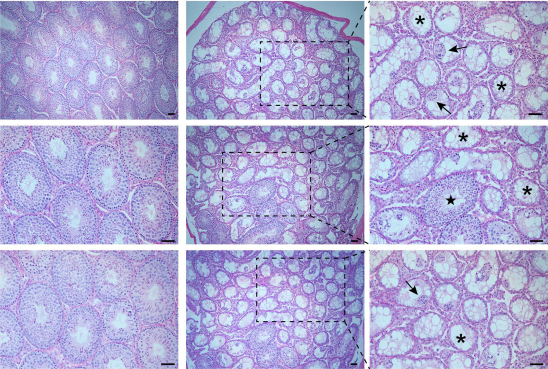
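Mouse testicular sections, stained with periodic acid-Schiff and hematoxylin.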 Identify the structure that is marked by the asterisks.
Sertoli cell-only tubules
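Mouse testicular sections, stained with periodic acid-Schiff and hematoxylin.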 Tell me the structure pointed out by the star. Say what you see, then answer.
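The starred tubule is filled with densely packed layers of nuclei. It resembles the tubules of the left-hand column, unlike its vacuolated neighbours. That points to this answer: normal seminiferous tubule.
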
